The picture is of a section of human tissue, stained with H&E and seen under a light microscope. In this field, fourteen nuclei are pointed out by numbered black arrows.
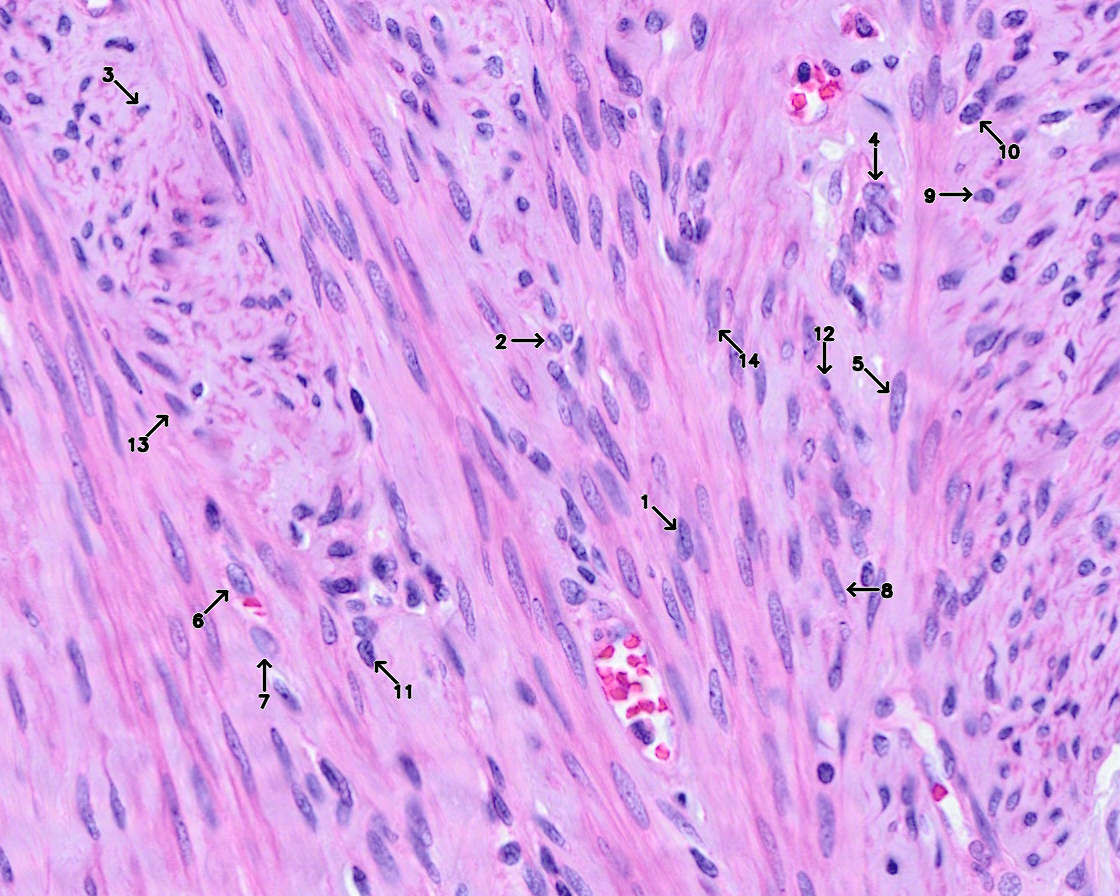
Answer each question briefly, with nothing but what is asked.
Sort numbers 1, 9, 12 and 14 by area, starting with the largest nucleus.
1, 14, 9, 12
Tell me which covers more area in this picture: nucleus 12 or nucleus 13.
13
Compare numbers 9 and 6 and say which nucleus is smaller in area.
9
